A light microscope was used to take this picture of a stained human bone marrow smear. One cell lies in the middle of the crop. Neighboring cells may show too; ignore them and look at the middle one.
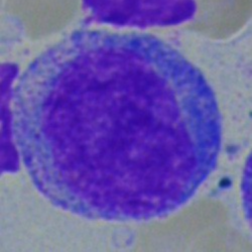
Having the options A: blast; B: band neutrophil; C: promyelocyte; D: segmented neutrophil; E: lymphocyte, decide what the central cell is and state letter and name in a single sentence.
Option C is the correct option, with the middle cell being a promyelocyte.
